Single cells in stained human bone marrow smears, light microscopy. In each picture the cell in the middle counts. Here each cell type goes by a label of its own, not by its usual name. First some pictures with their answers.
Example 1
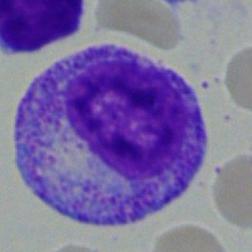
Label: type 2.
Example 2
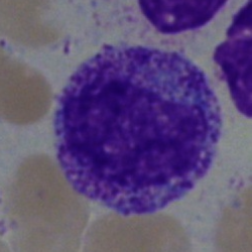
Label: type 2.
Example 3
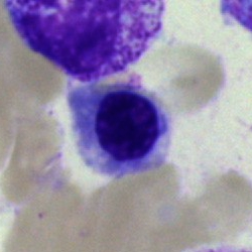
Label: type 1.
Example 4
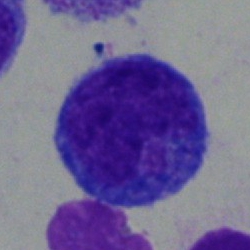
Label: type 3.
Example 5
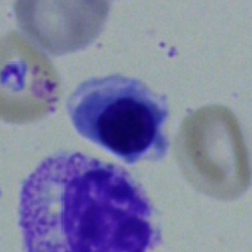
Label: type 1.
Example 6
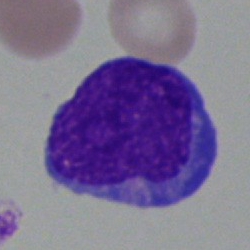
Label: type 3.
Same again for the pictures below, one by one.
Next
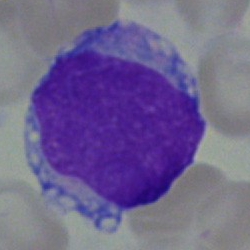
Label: type 3.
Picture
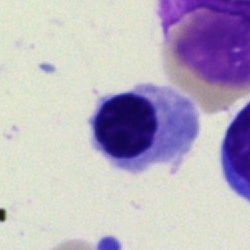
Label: type 1.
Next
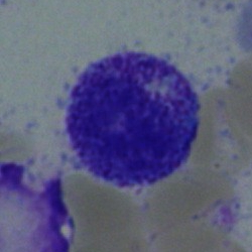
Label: type 2.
